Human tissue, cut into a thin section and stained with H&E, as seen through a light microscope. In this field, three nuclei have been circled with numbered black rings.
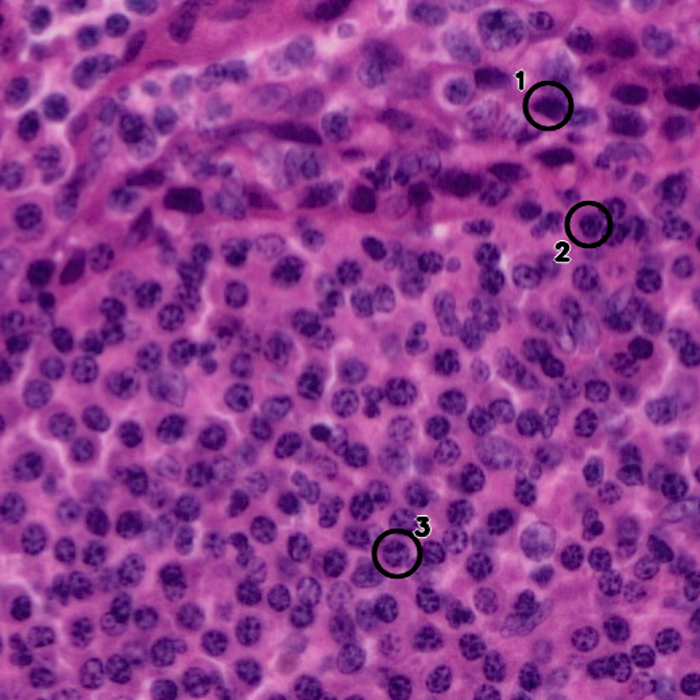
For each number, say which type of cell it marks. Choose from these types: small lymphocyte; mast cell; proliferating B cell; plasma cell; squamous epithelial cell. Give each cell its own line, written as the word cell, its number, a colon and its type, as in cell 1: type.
cell 1: squamous epithelial cell
cell 2: plasma cell
cell 3: plasma cell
